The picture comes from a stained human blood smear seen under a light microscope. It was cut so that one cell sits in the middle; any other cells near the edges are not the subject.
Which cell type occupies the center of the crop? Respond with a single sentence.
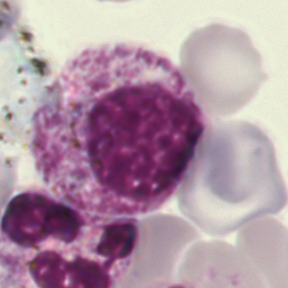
The cell in the middle of the field of view is a myelocyte.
